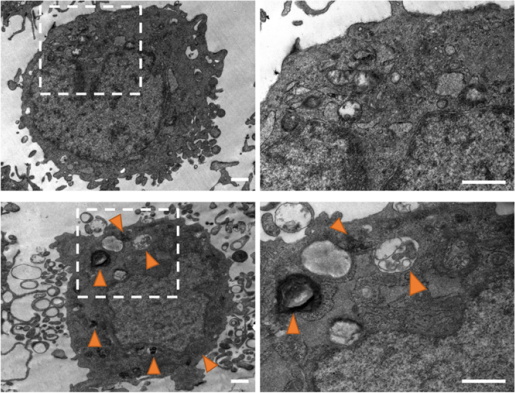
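In the lower cell the cytoplasm holds many round membrane-bound autophagic vacuoles, some with dark, dense or layered content and others with pale contents, and the cell surface bears many small vesicular profiles. The upper cell shows few such vacuoles in its cytoplasm.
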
